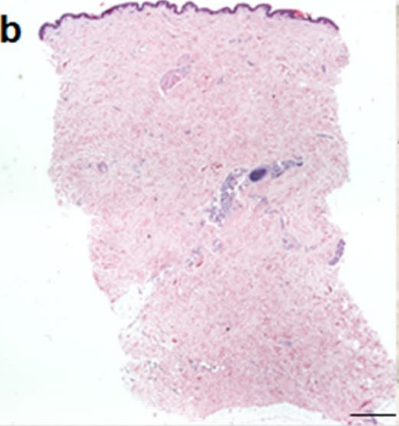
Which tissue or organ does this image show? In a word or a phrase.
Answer: Skin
